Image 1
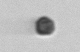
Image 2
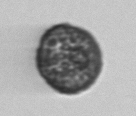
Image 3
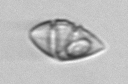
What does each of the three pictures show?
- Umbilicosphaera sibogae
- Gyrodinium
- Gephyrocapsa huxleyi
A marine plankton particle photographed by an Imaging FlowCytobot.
Picture 1: Gephyrocapsa huxleyi
Picture 2: Umbilicosphaera sibogae
Picture 3: Gyrodinium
